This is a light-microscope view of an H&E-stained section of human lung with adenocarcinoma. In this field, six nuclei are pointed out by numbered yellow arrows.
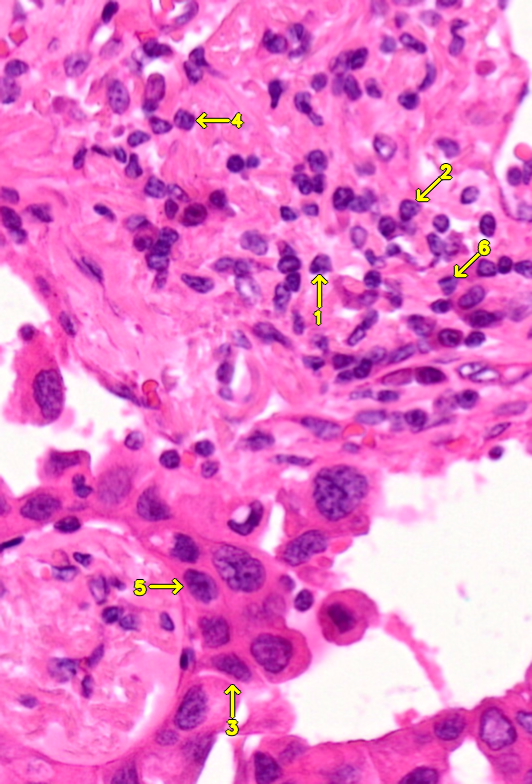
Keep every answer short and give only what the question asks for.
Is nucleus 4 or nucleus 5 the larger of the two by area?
5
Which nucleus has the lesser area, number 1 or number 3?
1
